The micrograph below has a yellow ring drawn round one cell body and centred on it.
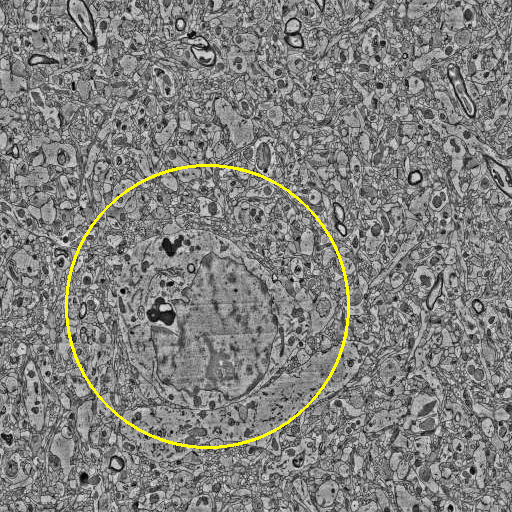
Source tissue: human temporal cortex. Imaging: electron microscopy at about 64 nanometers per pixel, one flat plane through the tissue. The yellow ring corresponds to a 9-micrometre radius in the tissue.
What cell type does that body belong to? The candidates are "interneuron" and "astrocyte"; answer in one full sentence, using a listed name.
This is an interneuron, the cell whose body lies at the centre of the ring.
